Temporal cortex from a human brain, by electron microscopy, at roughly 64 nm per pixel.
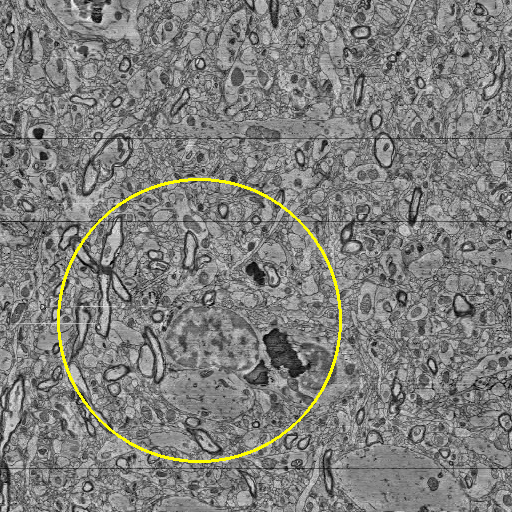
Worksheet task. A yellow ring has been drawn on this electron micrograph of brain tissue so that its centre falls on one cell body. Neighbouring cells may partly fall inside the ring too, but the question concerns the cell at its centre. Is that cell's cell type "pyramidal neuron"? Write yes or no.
no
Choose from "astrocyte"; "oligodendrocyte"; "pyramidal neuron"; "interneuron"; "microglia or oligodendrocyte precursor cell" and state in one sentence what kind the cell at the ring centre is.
It is an oligodendrocyte that the ring is centred on.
